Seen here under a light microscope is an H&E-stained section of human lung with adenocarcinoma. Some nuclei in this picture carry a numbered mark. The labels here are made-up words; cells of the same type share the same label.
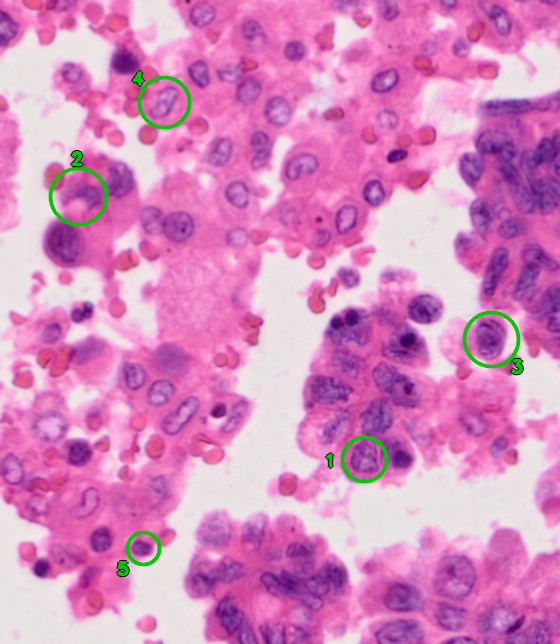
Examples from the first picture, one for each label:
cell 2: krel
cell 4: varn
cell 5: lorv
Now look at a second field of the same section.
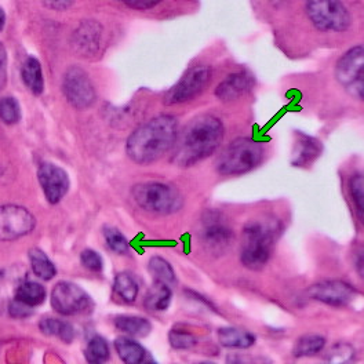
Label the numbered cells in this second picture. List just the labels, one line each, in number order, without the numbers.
lorv
krel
